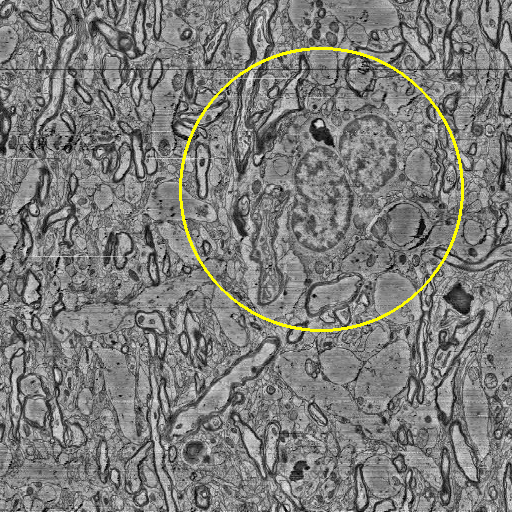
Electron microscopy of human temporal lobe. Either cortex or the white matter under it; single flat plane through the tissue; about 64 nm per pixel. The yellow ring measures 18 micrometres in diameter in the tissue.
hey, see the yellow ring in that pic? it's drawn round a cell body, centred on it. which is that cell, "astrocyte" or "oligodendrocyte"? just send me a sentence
The cell in the ring is an oligodendrocyte.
